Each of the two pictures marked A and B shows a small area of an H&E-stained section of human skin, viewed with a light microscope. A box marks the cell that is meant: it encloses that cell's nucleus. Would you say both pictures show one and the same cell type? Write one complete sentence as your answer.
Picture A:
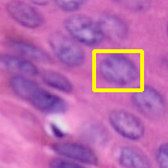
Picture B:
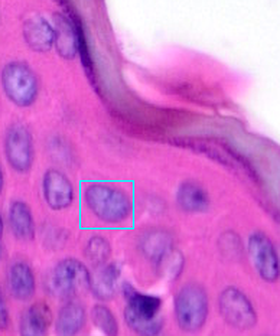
Yes, they are the same type: both are suprabasal keratinocytes.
